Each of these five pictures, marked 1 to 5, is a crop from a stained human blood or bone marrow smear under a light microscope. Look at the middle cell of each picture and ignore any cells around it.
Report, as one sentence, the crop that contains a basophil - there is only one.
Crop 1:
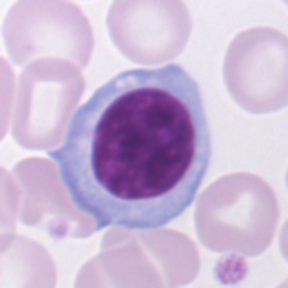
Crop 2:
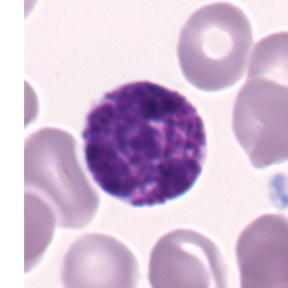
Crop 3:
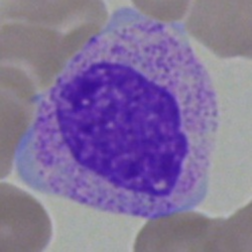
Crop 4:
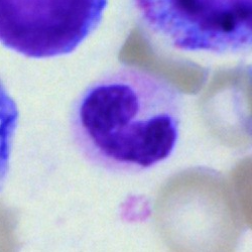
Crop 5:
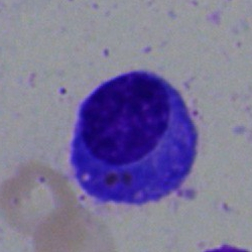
Among the crops given, only crop 2 shows a basophil.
